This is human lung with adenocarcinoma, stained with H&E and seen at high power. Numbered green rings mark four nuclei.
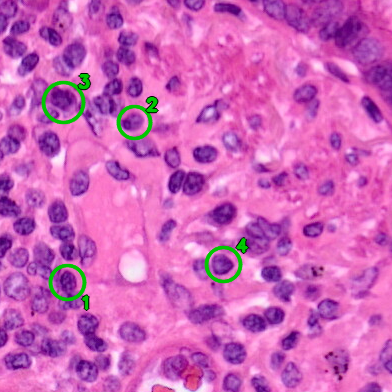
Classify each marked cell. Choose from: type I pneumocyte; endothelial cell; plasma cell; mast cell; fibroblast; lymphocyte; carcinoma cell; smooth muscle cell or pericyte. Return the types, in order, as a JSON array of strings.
["lymphocyte", "lymphocyte", "plasma cell", "lymphocyte"]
